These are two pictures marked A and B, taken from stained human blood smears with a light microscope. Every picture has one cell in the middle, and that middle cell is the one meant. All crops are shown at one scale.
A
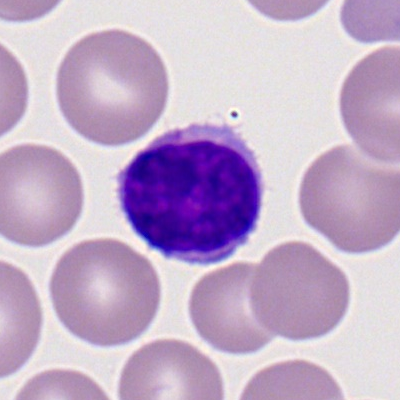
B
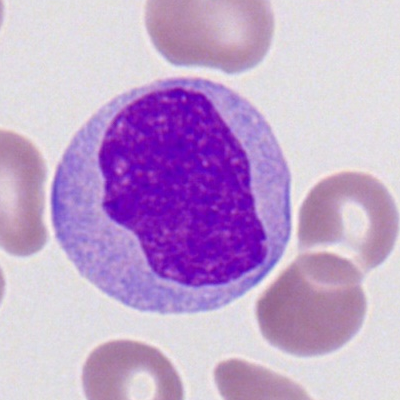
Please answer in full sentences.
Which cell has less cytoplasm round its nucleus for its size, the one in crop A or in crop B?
Of the two, the nucleus in crop A makes up the greater part of its cell.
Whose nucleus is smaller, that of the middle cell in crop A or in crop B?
It is the nucleus in crop A; the one in crop B has about 2 times its area.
